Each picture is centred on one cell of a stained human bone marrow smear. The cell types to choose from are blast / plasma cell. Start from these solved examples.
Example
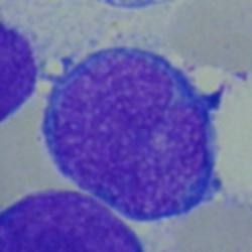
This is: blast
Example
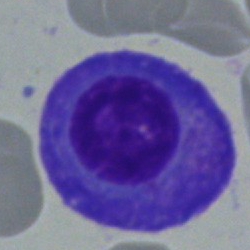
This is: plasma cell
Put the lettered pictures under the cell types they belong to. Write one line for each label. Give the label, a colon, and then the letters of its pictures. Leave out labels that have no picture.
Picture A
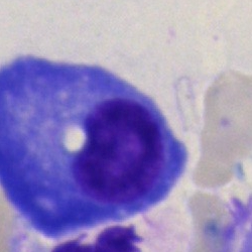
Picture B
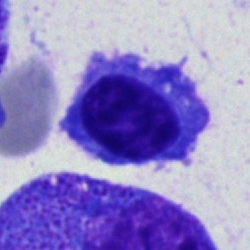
plasma cell: A, B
